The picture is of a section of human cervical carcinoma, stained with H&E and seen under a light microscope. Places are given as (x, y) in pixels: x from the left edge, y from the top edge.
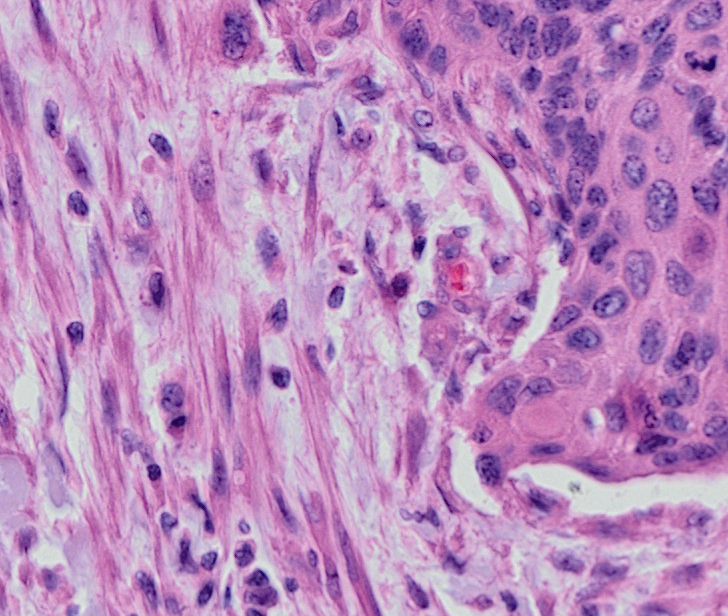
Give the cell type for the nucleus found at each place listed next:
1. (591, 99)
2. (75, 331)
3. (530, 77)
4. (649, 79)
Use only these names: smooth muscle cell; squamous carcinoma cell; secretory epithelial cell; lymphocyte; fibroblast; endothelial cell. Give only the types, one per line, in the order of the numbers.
squamous carcinoma cell
lymphocyte
squamous carcinoma cell
squamous carcinoma cell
